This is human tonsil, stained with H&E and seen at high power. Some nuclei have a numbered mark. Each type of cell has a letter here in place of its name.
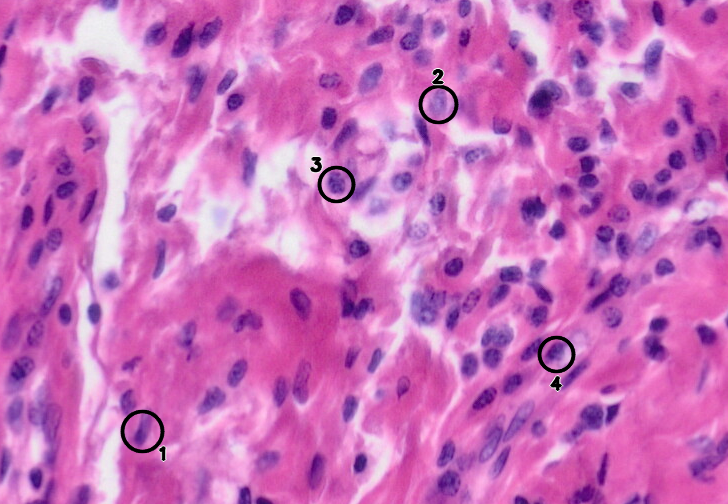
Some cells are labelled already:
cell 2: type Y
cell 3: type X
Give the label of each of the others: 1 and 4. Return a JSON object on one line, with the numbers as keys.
{"1": "type Y", "4": "type Y"}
